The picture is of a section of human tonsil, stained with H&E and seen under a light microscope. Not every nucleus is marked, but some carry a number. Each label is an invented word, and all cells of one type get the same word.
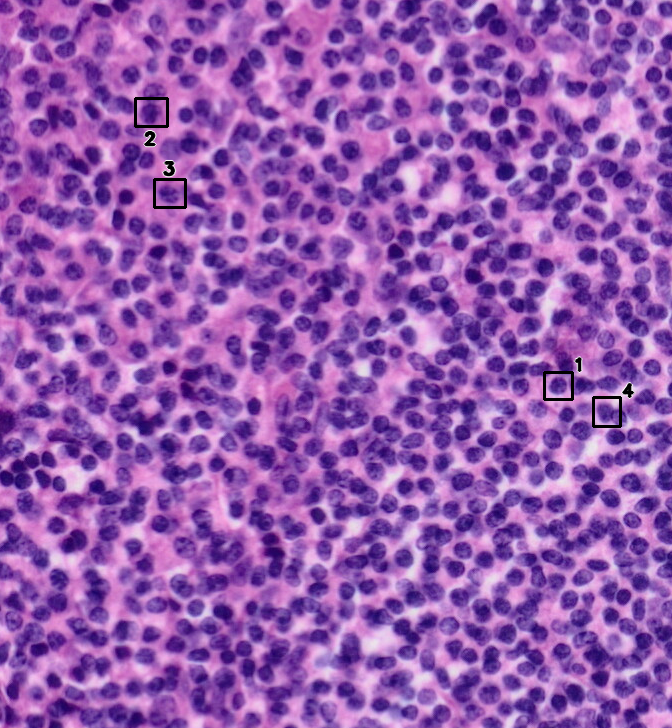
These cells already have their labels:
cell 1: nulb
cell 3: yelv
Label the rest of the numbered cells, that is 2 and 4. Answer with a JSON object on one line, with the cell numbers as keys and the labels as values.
{"2": "yelv", "4": "nulb"}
